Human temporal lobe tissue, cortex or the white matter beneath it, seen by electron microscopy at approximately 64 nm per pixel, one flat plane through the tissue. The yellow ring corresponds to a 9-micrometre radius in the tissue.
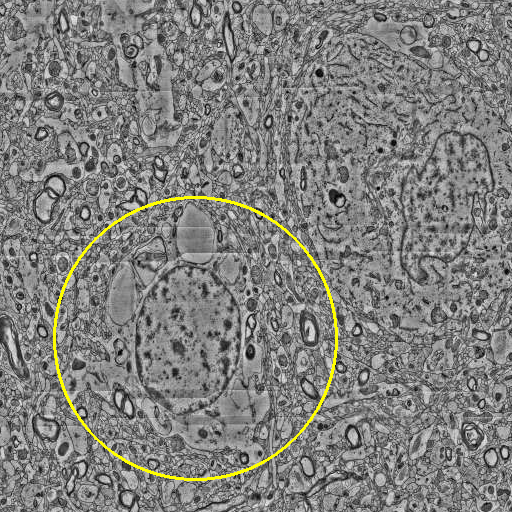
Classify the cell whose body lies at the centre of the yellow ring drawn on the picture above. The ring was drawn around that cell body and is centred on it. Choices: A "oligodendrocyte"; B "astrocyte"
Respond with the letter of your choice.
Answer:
B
